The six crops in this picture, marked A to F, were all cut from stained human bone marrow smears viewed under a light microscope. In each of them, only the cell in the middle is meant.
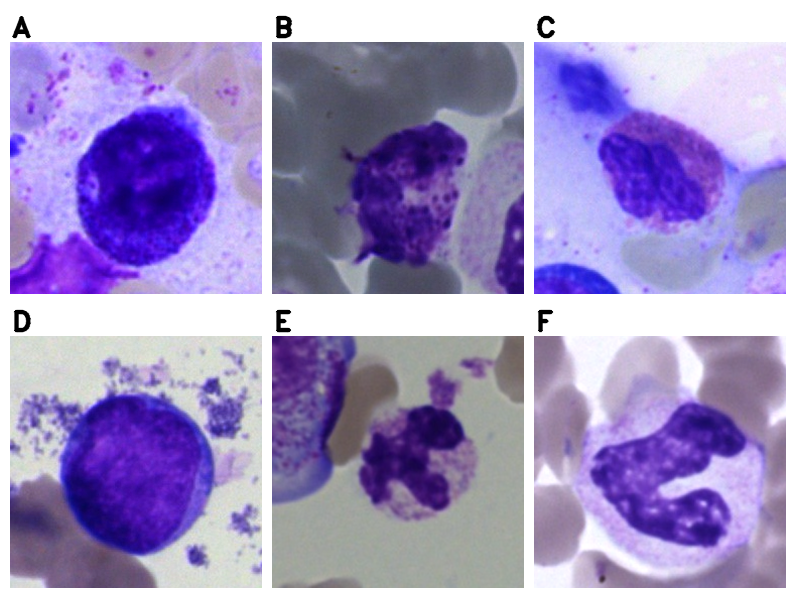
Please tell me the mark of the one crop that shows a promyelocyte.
A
